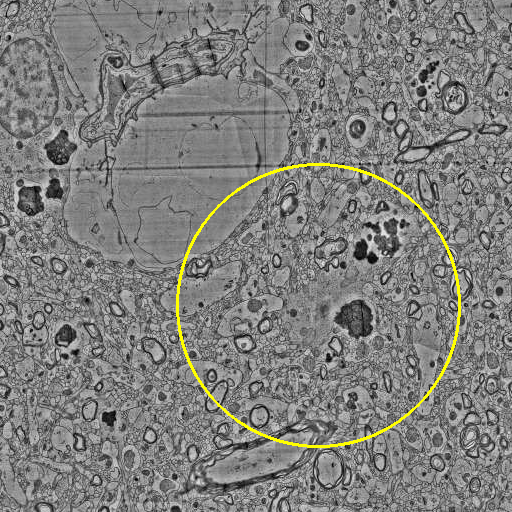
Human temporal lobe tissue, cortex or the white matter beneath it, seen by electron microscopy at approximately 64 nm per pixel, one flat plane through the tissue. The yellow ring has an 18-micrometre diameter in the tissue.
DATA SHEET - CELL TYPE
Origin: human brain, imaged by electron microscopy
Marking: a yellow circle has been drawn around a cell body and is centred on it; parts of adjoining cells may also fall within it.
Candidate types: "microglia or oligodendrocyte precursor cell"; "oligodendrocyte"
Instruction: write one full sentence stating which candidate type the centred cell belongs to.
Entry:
The cell body at the centre of the yellow ring in this micrograph belongs to an oligodendrocyte.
